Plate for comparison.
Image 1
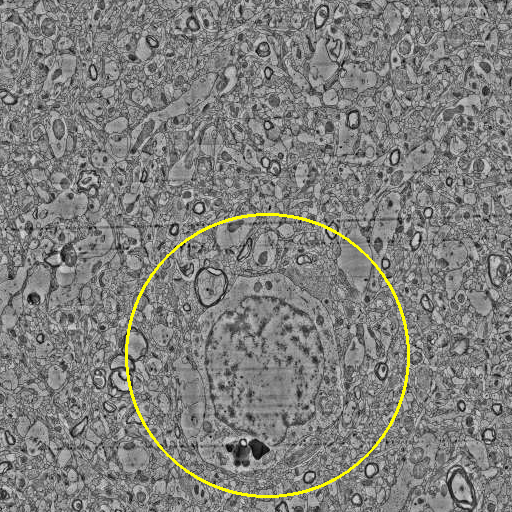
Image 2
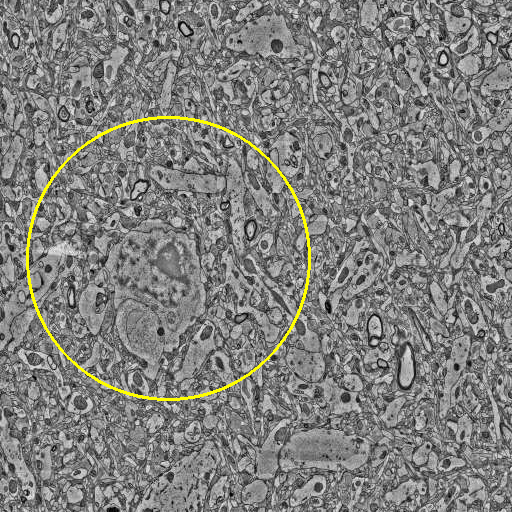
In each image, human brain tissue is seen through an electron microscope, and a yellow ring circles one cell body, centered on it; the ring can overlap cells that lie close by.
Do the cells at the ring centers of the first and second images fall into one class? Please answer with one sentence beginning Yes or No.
Yes, the first and second images show a single class of cell at the ring centers.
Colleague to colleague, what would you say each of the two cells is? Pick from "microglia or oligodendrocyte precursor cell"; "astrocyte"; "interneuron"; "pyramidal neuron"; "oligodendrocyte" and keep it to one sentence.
Each of the ringed cells, first and second, is an interneuron.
